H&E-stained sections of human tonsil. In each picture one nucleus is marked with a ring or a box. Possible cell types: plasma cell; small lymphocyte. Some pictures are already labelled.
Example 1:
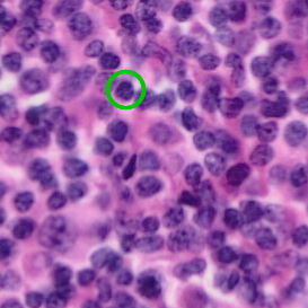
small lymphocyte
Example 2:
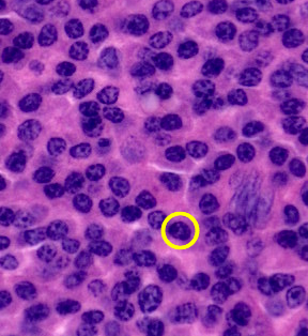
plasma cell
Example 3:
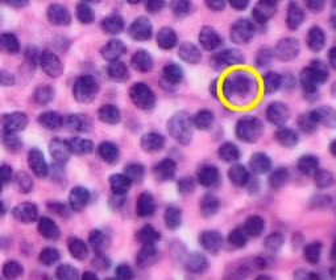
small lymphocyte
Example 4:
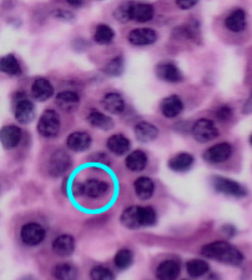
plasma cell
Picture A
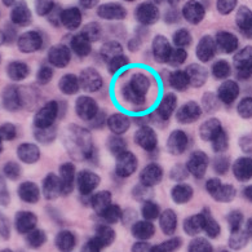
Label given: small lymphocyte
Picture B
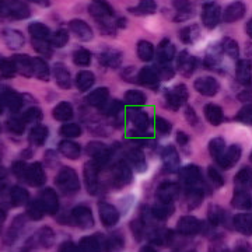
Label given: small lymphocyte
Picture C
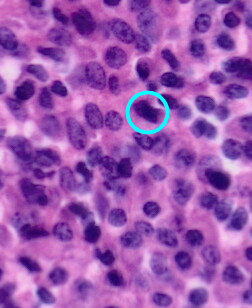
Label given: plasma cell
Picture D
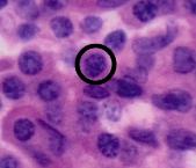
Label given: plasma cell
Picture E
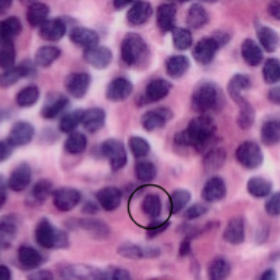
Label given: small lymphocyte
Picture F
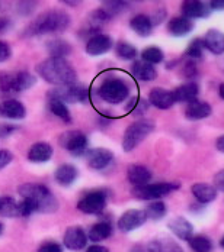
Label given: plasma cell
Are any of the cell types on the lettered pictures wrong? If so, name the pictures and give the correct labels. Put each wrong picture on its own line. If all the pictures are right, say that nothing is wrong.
F is labelled plasma cell; correct label: small lymphocyte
